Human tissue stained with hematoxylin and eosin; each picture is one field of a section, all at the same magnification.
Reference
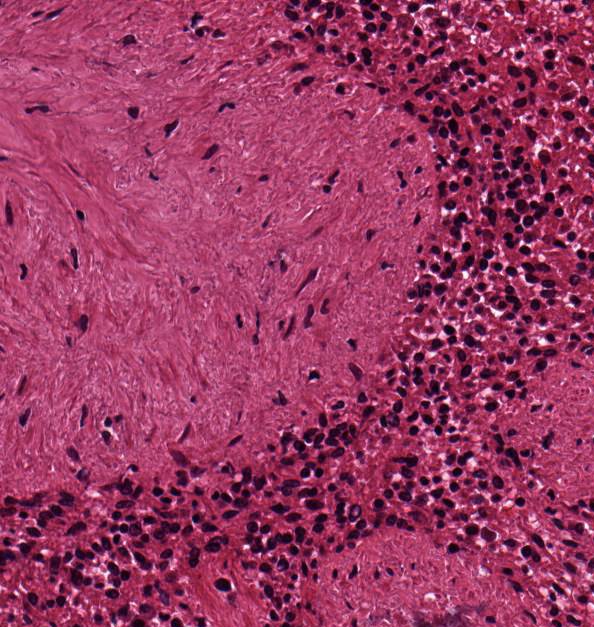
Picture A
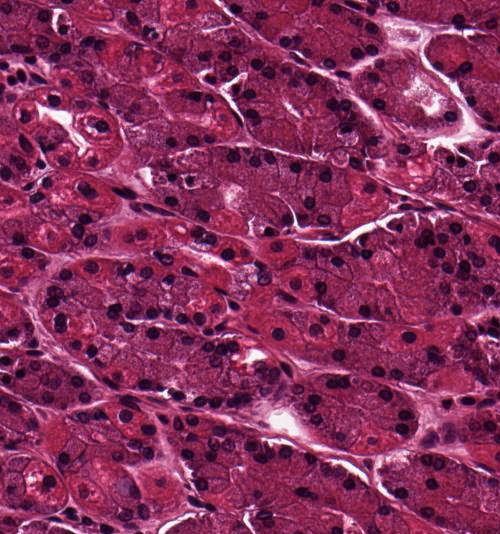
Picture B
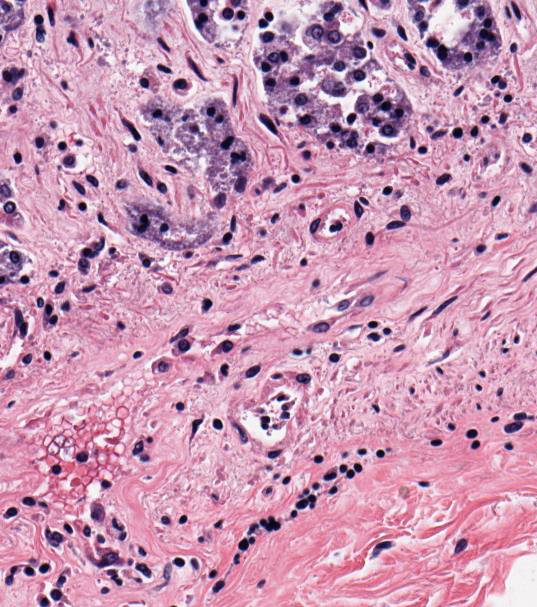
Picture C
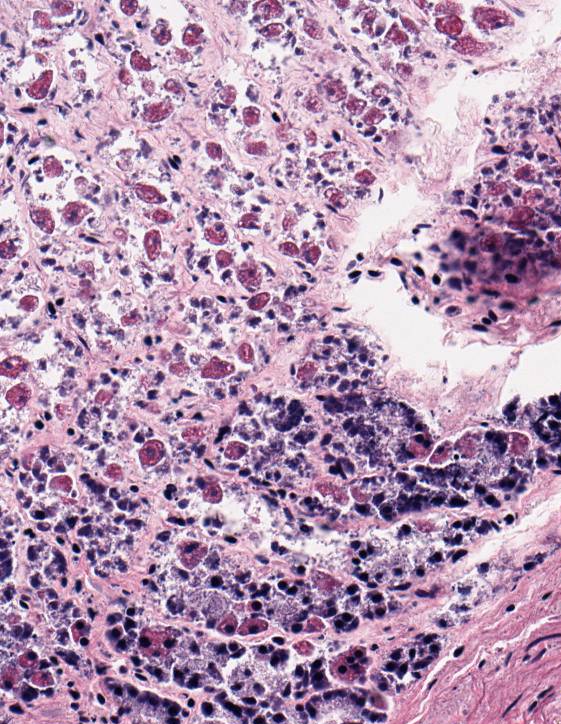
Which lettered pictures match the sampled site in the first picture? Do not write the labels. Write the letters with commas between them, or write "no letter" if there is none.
no letter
